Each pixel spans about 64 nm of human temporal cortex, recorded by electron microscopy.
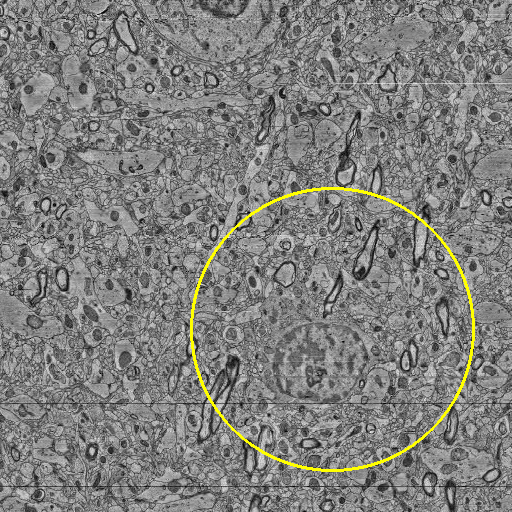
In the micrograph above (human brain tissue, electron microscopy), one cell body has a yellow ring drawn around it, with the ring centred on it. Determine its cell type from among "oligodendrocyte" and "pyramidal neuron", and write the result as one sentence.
The cell whose body is ringed is an oligodendrocyte.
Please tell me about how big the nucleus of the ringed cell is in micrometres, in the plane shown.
The nucleus is approximately 6 micrometers across in this plane.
